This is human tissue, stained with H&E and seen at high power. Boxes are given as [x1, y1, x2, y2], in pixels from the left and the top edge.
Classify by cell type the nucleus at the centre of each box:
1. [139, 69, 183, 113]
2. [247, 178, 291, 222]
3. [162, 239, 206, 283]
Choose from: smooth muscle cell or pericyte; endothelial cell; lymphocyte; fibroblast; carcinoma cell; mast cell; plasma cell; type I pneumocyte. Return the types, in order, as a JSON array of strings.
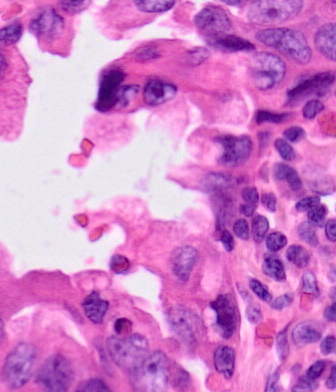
["carcinoma cell", "lymphocyte", "carcinoma cell"]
